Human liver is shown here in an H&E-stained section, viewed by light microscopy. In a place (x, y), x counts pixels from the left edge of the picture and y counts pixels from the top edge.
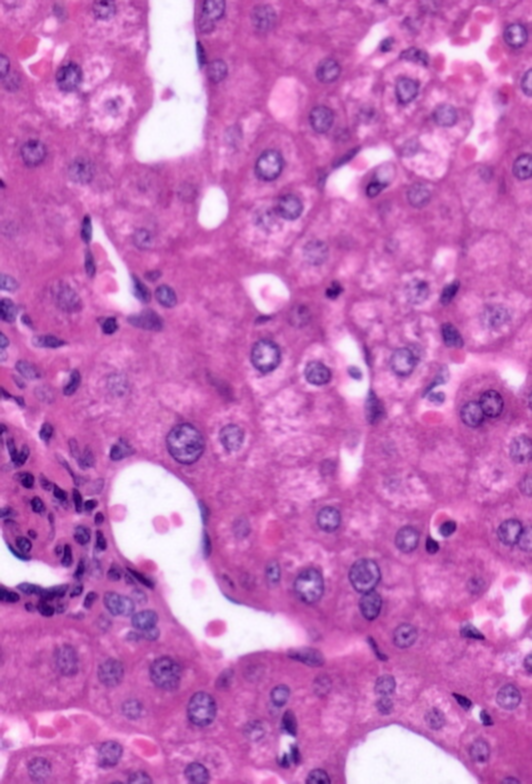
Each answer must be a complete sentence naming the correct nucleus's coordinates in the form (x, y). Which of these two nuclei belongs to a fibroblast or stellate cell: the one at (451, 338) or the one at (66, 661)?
The member of the pair belonging to a fibroblast or stellate cell is the nucleus at (451, 338).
